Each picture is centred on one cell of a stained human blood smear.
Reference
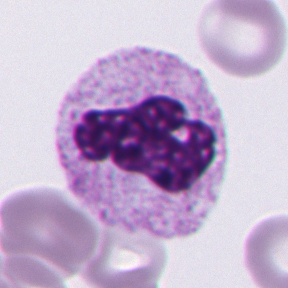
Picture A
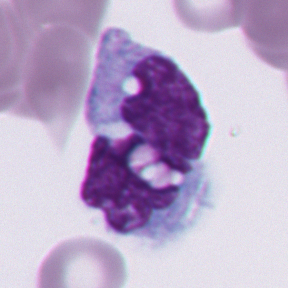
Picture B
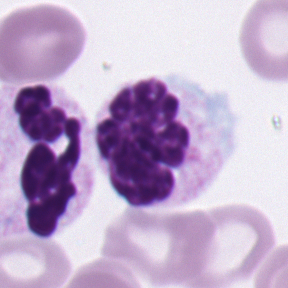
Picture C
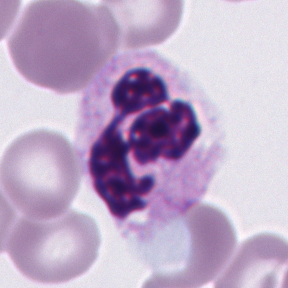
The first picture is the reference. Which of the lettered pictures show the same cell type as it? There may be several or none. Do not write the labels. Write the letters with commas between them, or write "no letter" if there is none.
B, C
